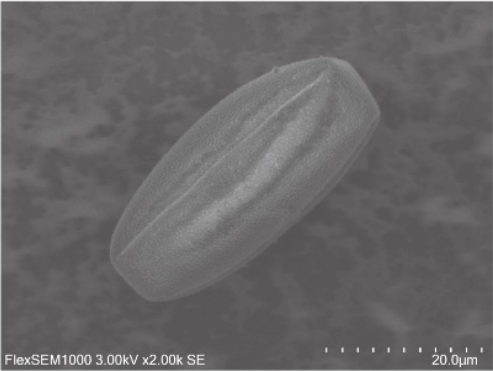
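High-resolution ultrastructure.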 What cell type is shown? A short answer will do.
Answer: pollen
